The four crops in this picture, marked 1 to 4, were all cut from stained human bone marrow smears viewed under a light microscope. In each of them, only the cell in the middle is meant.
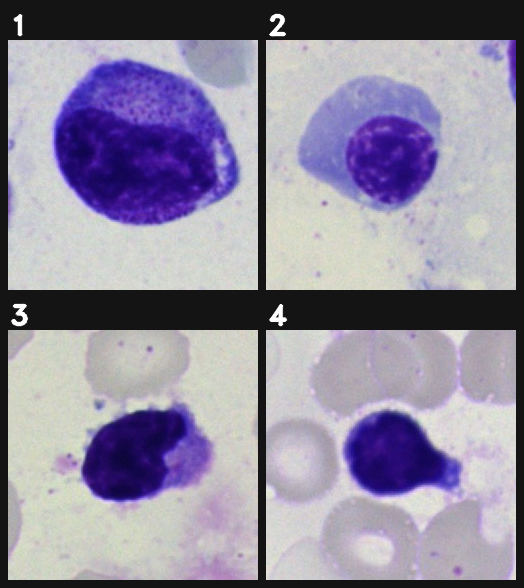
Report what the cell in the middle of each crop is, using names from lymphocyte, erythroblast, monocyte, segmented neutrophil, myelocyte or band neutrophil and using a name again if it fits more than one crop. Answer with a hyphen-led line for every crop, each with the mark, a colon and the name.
- 1: myelocyte
- 2: erythroblast
- 3: lymphocyte
- 4: lymphocyte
